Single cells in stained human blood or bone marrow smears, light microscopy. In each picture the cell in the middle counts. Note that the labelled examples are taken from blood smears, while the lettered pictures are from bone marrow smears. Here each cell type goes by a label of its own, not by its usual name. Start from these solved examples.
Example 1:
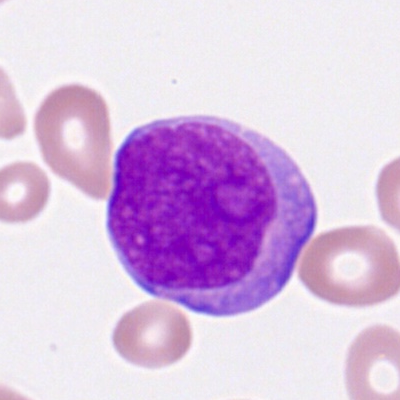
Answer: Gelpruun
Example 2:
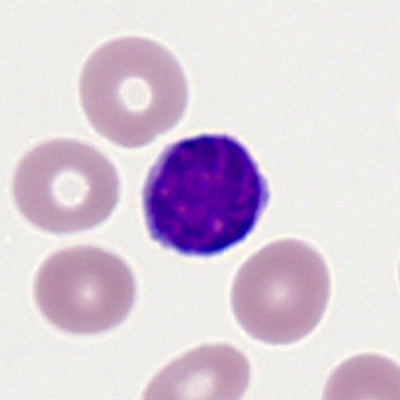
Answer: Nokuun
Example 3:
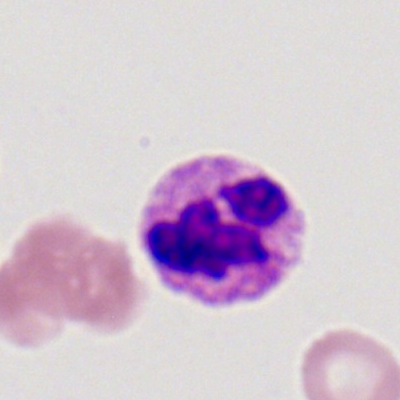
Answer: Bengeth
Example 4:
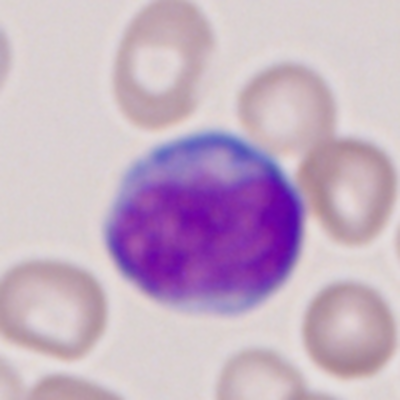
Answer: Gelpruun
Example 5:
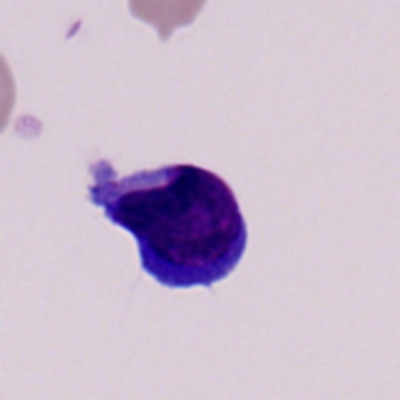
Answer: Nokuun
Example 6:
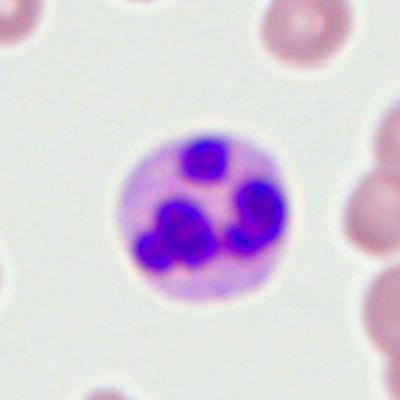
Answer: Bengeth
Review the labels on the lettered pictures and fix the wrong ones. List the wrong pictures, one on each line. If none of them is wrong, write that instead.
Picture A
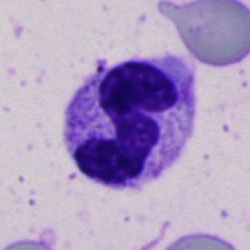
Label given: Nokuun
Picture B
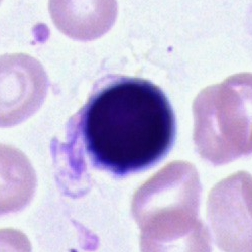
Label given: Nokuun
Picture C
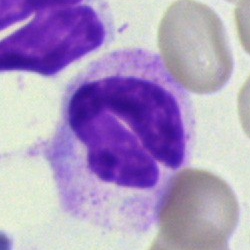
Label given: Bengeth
A should be Bengeth, not Nokuun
